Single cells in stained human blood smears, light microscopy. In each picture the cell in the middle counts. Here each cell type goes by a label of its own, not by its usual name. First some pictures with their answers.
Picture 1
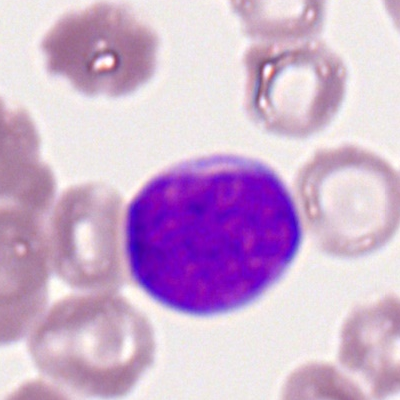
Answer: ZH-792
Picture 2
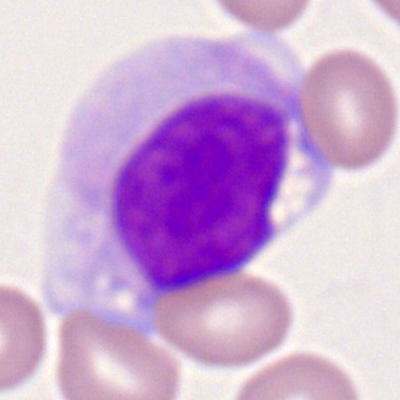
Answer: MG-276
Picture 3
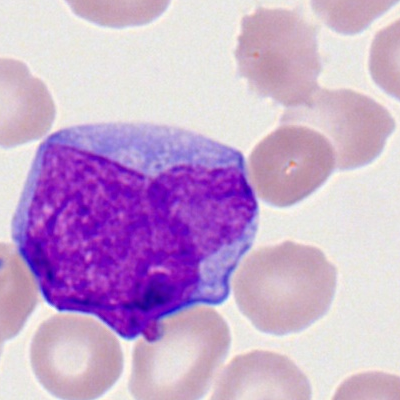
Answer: ZH-792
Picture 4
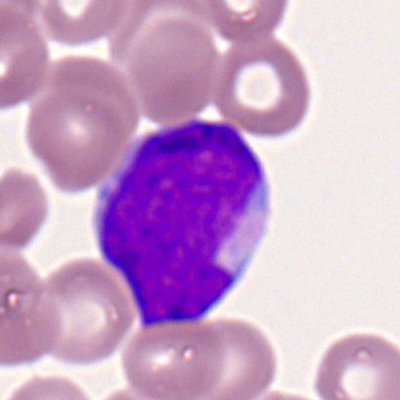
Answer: ZH-792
